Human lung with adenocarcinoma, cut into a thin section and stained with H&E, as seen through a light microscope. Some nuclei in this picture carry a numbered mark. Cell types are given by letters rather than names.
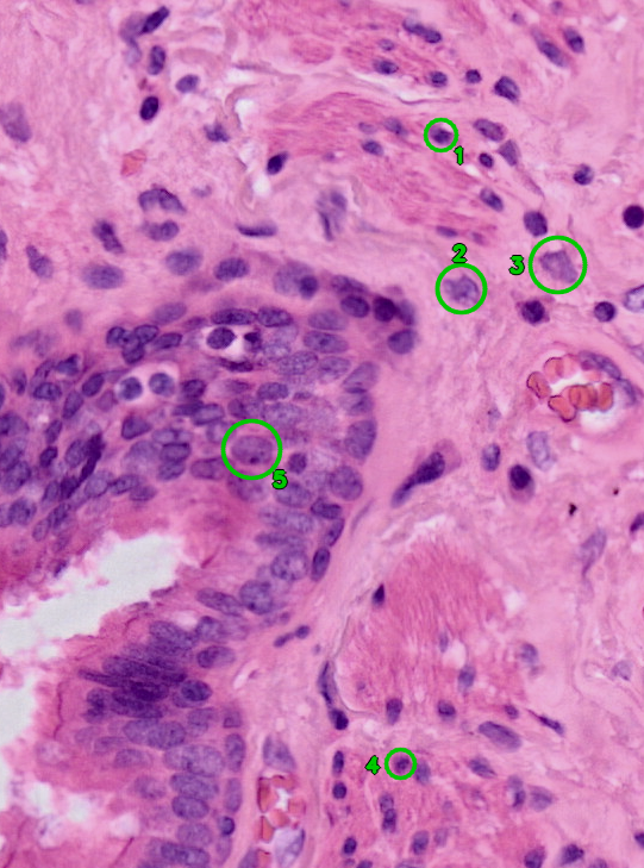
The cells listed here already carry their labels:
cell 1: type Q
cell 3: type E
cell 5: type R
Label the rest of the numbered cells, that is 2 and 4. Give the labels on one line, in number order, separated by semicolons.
type E; type Q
